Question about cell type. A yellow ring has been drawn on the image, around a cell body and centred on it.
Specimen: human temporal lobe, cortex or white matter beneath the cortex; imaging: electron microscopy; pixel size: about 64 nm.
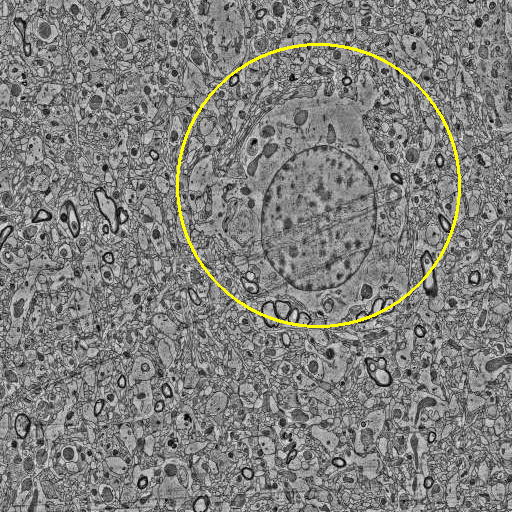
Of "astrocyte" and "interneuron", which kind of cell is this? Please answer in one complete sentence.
At the centre of the ring lies an astrocyte.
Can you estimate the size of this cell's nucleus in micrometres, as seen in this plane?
About 9 by 7 micrometers for the nucleus, in this plane.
